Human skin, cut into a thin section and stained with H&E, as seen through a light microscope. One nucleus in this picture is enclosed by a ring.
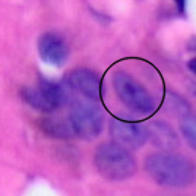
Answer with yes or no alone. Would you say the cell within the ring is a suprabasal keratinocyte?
no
